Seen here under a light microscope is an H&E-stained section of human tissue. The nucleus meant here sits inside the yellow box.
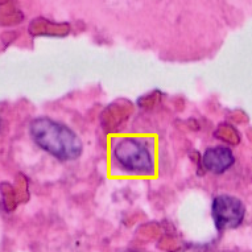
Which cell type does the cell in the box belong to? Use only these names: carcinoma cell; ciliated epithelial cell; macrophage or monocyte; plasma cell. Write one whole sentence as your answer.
By cell type, the cell in the box is a macrophage or monocyte.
